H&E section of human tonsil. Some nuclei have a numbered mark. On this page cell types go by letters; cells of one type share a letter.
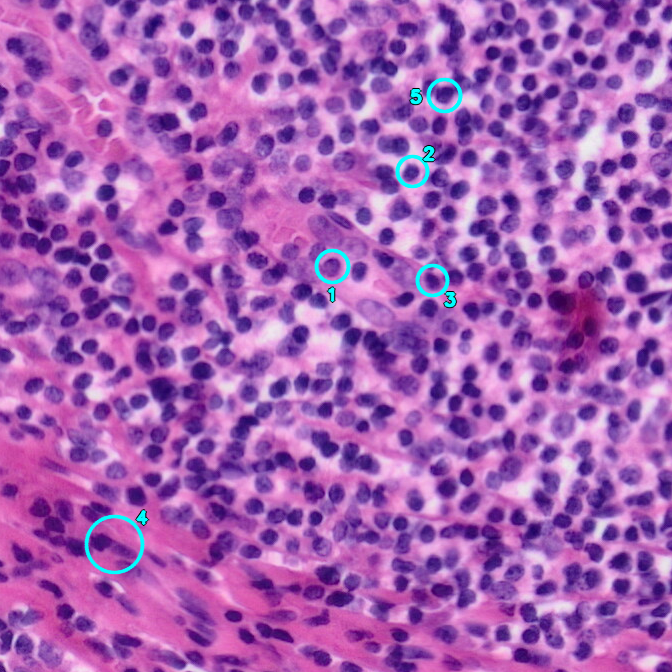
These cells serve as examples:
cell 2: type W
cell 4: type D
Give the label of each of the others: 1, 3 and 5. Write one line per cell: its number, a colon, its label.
1: type D
3: type D
5: type W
